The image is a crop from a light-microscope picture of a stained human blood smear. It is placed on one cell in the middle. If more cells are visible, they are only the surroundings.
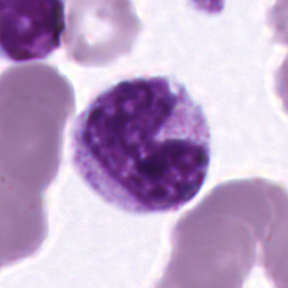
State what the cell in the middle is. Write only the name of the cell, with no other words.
metamyelocyte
